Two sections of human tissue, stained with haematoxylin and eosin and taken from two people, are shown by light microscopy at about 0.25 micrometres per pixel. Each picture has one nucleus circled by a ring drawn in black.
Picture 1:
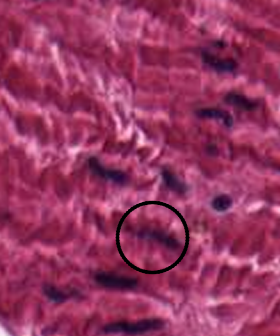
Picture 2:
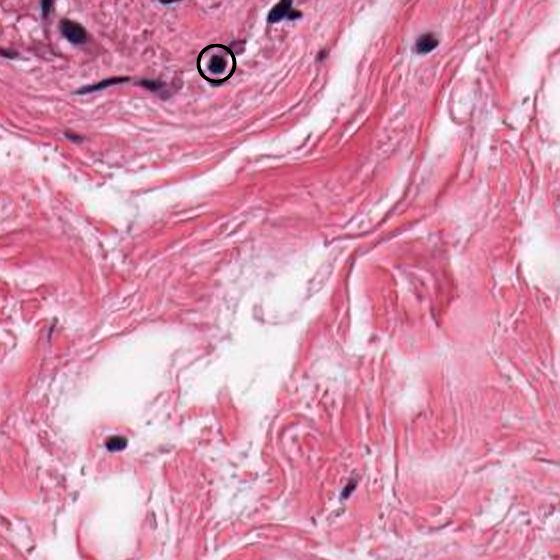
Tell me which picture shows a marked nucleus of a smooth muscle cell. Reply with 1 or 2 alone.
1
